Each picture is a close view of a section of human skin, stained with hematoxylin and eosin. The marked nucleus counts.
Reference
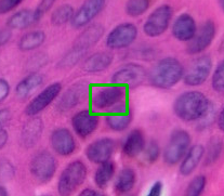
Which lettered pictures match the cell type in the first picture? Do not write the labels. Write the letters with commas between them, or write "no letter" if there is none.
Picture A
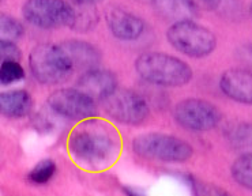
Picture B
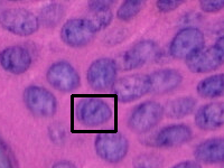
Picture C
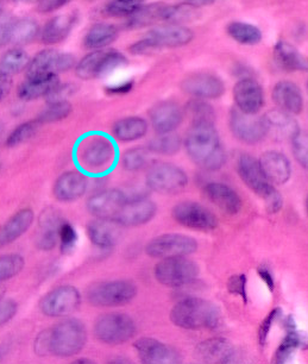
A, C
